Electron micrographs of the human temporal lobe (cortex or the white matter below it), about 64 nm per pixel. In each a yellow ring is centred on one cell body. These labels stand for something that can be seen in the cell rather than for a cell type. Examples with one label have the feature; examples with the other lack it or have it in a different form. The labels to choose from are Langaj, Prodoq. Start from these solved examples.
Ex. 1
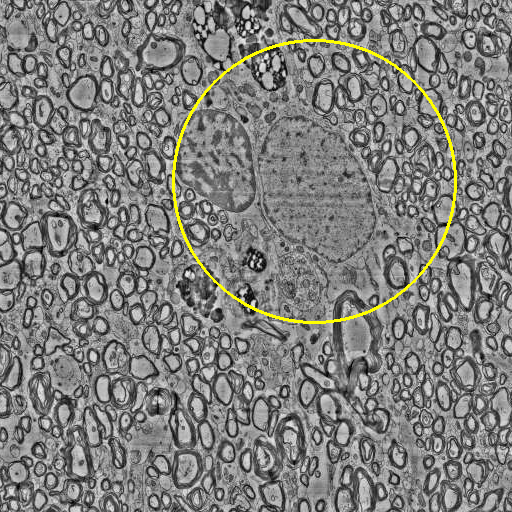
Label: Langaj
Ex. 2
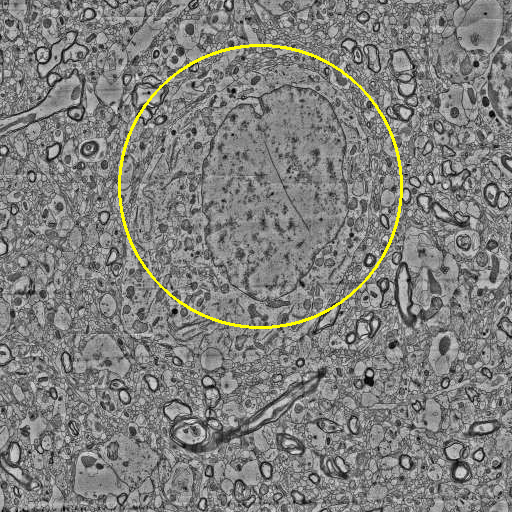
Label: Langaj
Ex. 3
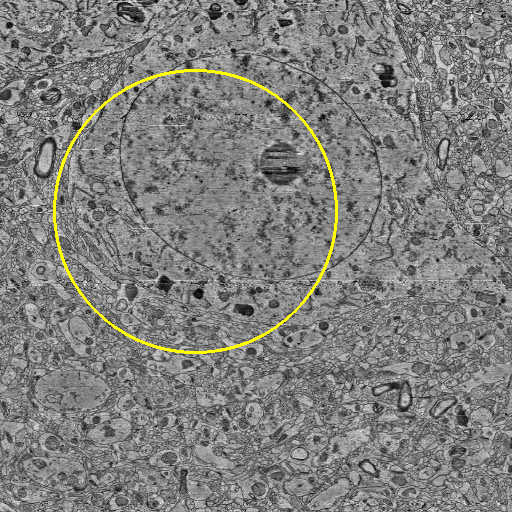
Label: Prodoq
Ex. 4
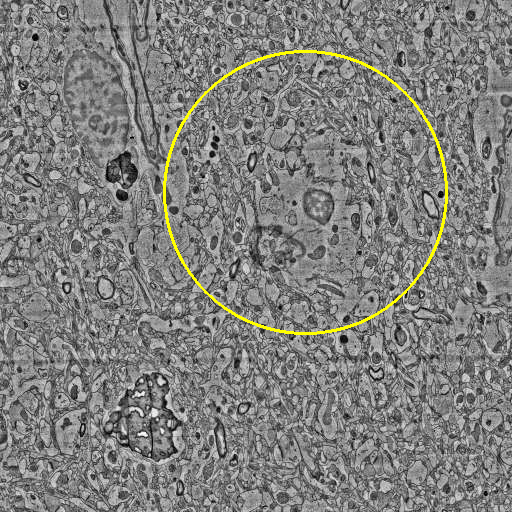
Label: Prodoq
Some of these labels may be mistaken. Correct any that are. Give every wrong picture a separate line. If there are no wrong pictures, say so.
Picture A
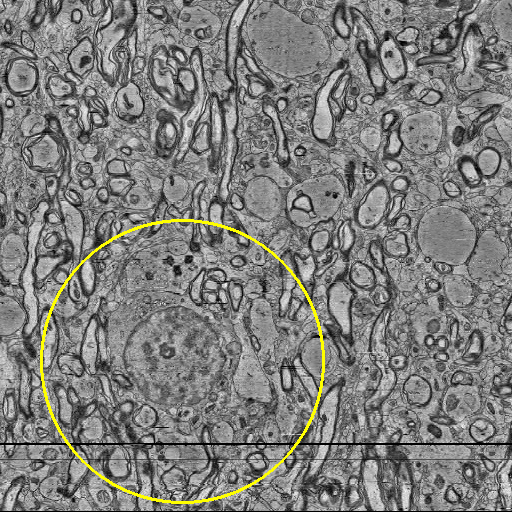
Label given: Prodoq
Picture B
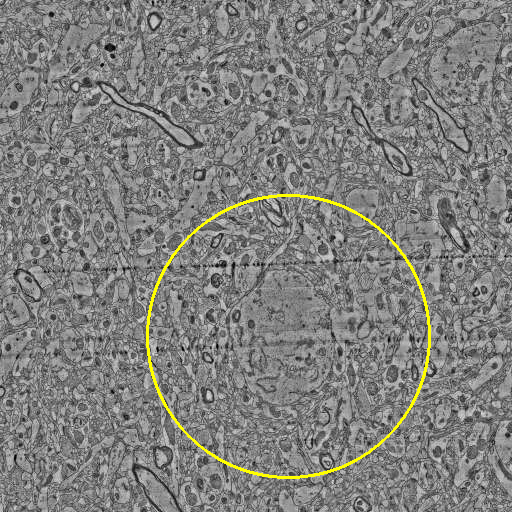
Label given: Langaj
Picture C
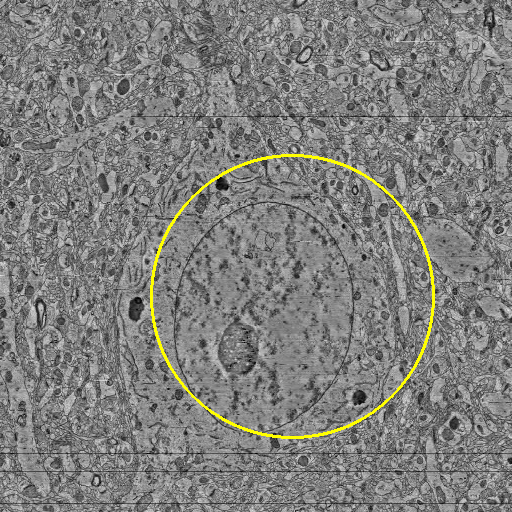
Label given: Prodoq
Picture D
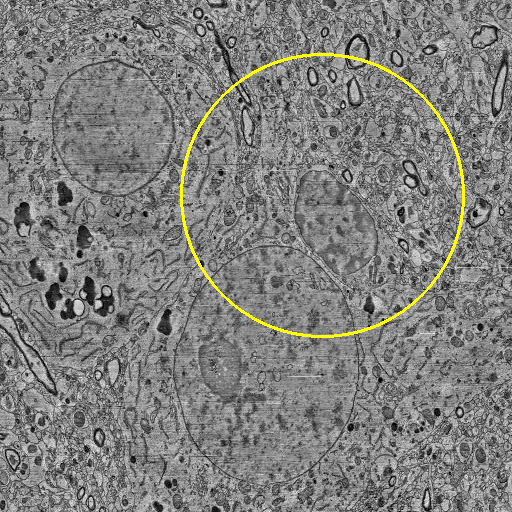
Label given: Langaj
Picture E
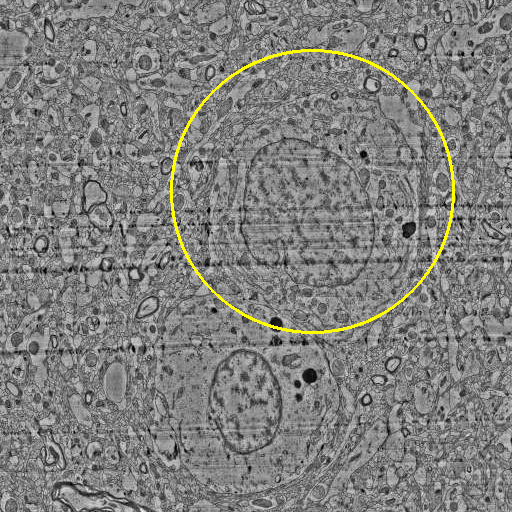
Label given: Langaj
Every label is right.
